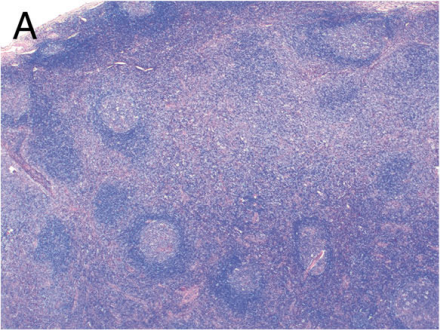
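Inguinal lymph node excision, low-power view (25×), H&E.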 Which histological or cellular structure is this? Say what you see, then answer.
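Round pale follicle centres are scattered through the node. Each pale centre is rimmed by a dark blue band of small lymphocytes. So: germinal centers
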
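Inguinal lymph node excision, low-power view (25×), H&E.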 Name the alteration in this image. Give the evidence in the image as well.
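The interfollicular areas are expanded. Broad paler pink-purple zones separate the follicles. Follicles are spaced widely apart by this intervening tissue.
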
